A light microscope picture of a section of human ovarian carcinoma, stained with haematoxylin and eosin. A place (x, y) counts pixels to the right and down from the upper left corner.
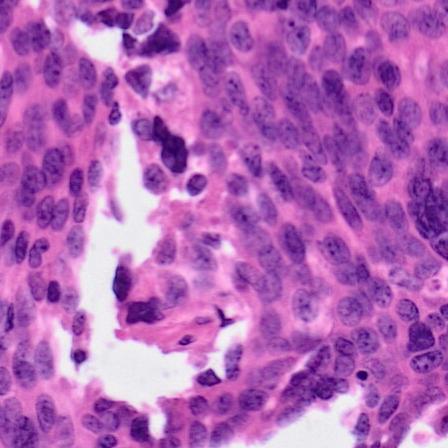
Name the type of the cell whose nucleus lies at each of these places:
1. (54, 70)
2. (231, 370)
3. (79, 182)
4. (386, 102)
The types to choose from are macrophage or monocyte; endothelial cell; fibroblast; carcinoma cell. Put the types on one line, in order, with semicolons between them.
carcinoma cell; macrophage or monocyte; carcinoma cell; carcinoma cell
